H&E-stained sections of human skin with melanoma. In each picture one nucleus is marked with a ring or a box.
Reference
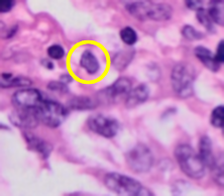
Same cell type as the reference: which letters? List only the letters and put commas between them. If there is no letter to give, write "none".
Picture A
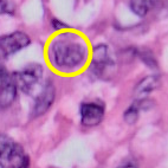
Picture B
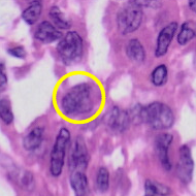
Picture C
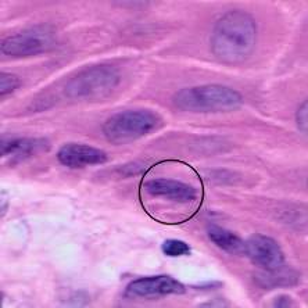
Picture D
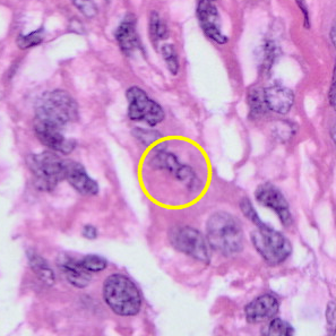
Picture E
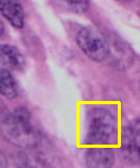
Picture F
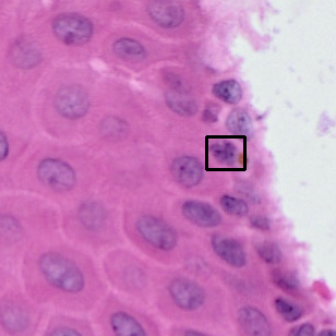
none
